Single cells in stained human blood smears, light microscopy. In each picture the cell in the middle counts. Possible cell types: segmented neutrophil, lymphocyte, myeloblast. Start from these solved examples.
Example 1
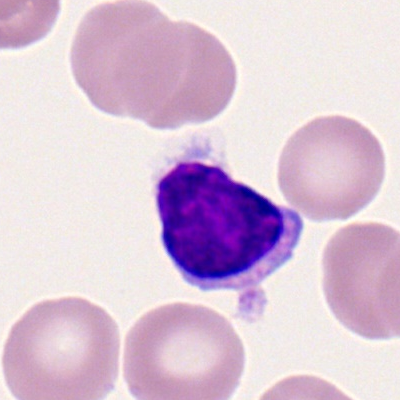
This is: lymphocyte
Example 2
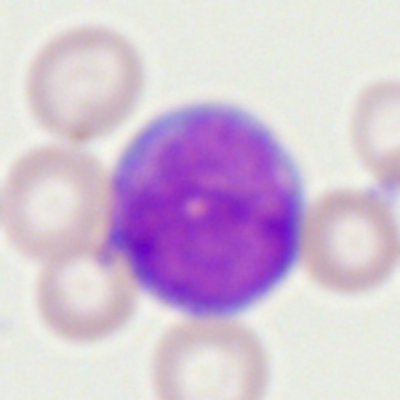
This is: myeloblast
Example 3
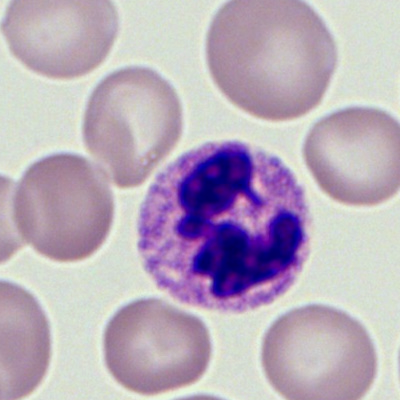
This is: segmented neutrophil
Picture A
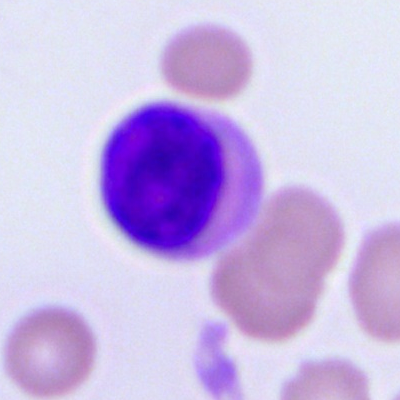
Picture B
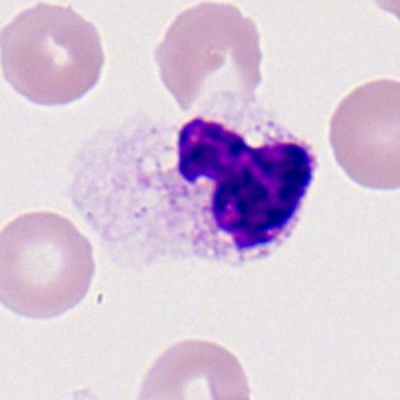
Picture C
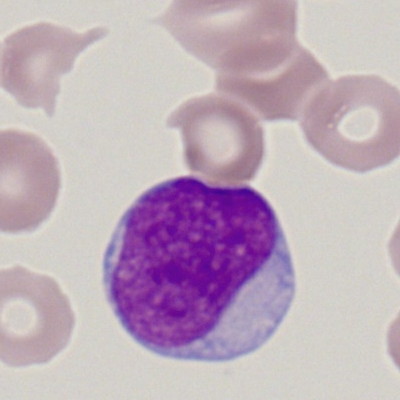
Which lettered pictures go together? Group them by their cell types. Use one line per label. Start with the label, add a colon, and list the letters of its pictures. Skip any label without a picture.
segmented neutrophil: B
lymphocyte: A
myeloblast: C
